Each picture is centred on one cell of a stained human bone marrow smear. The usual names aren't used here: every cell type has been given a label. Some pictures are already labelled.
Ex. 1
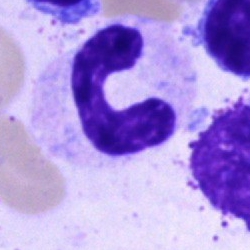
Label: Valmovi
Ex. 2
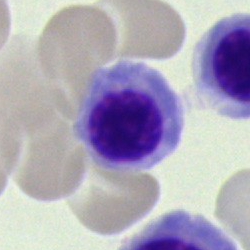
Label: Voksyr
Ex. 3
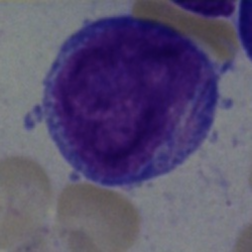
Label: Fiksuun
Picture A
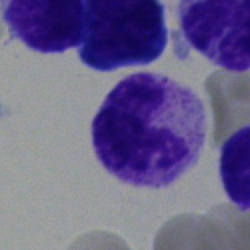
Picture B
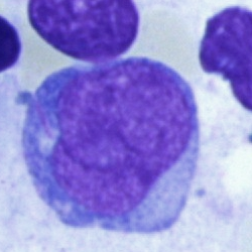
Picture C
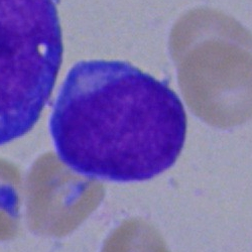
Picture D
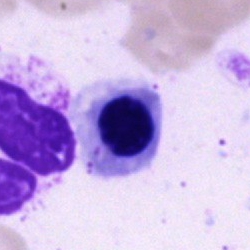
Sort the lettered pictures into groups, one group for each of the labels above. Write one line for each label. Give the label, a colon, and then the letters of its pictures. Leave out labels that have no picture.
Valmovi: A
Voksyr: D
Fiksuun: B, C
